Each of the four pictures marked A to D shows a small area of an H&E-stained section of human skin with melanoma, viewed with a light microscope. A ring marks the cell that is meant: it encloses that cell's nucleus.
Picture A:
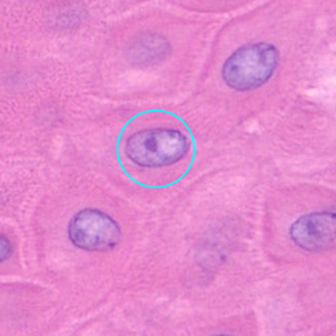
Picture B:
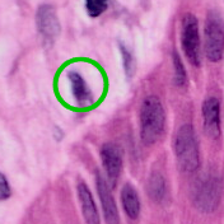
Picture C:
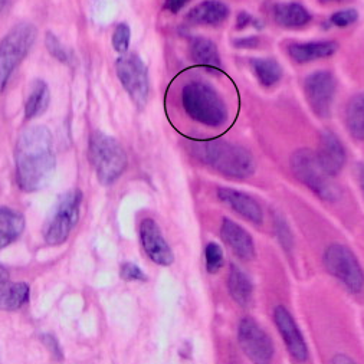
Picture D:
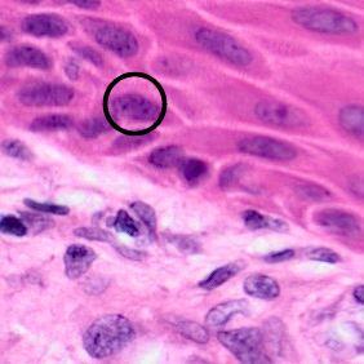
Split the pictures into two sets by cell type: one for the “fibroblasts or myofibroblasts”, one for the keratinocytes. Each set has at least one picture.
A: keratinocyte
B: fibroblast or myofibroblast
C: keratinocyte
D: keratinocyte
